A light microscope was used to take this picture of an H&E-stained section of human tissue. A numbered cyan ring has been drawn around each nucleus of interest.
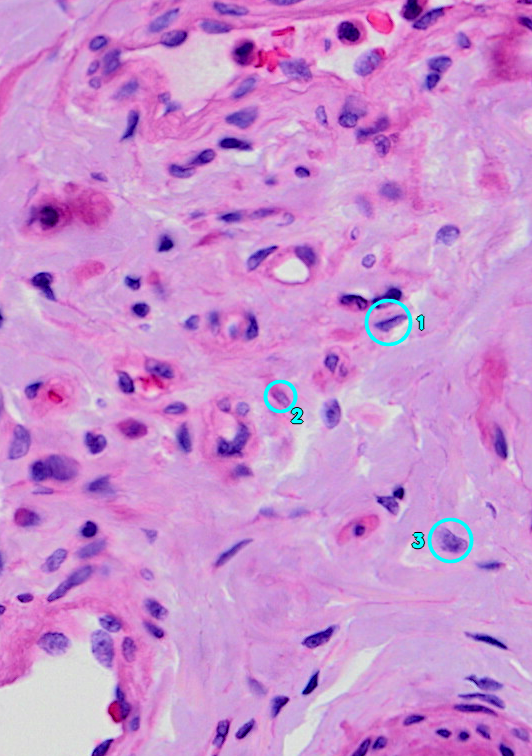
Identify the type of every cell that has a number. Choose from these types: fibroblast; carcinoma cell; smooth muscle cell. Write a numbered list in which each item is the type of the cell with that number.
1. fibroblast
2. smooth muscle cell
3. fibroblast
